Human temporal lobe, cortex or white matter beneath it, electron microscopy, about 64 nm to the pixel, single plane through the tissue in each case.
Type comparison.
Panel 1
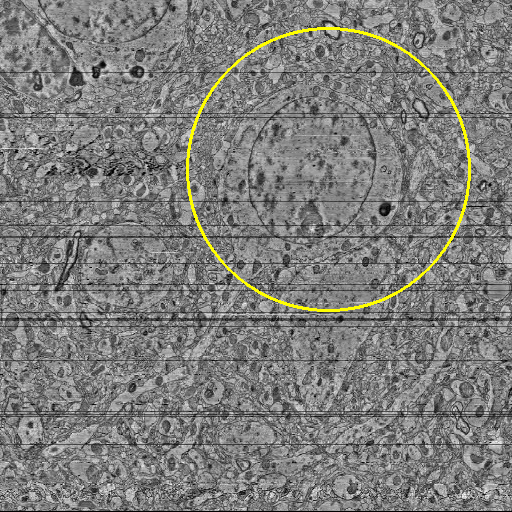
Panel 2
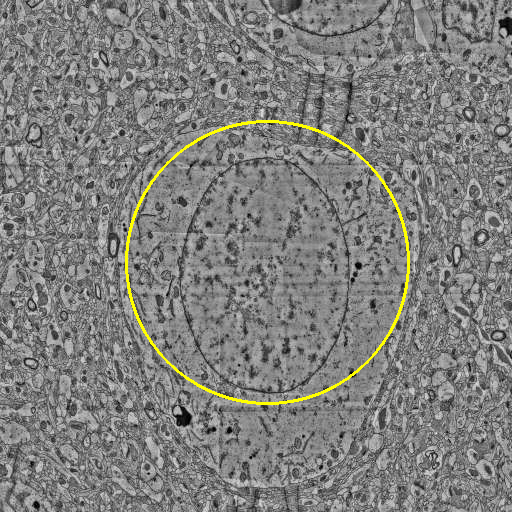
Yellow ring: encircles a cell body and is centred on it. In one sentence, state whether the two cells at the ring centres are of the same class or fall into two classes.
In these panels, the two cells at the ring centres are of the same class.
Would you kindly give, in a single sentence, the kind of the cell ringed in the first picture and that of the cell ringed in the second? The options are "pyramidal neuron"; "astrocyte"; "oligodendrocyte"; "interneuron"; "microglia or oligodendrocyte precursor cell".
In each of the two pictures, the ringed cell is a pyramidal neuron.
